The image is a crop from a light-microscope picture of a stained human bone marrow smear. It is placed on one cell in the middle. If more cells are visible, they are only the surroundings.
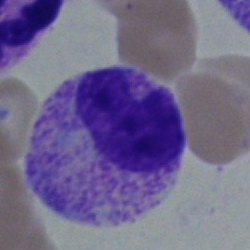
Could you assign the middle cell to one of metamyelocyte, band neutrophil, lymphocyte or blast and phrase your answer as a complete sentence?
Where the crop is centred, there is a metamyelocyte.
